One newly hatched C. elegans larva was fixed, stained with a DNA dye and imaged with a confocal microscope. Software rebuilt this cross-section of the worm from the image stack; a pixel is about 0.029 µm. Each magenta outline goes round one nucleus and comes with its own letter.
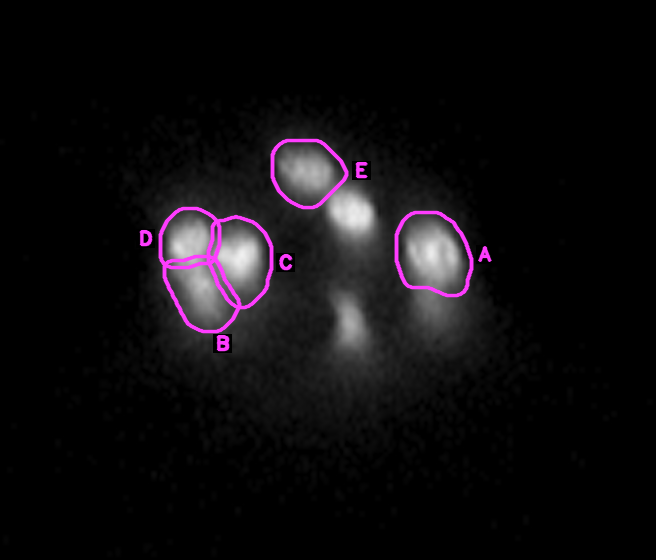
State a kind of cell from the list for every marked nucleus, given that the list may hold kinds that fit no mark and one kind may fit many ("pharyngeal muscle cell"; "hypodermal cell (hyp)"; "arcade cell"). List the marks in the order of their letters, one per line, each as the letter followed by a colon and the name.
A: hypodermal cell (hyp)
B: arcade cell
C: pharyngeal muscle cell
D: hypodermal cell (hyp)
E: hypodermal cell (hyp)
